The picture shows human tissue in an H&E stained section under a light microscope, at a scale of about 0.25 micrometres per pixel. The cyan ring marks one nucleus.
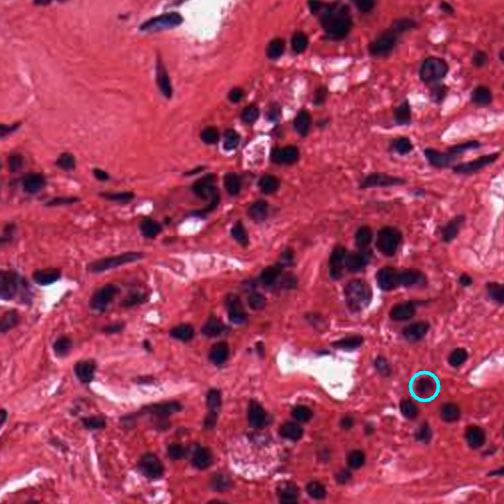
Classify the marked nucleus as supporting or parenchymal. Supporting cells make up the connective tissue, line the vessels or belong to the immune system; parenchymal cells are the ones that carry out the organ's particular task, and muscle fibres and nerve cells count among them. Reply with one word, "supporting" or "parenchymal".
parenchymal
